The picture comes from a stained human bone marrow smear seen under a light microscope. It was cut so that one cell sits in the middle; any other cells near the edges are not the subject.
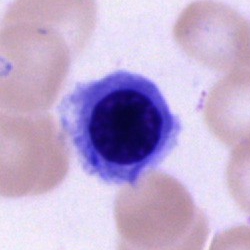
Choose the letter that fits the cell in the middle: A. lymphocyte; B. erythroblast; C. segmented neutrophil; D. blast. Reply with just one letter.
B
